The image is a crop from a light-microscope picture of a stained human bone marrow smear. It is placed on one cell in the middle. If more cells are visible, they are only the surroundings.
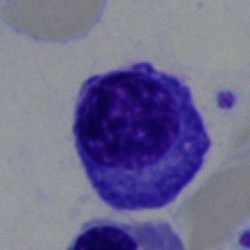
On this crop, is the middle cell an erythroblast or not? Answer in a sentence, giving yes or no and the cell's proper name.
No, the centre cell counts as a plasma cell, not as an erythroblast.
